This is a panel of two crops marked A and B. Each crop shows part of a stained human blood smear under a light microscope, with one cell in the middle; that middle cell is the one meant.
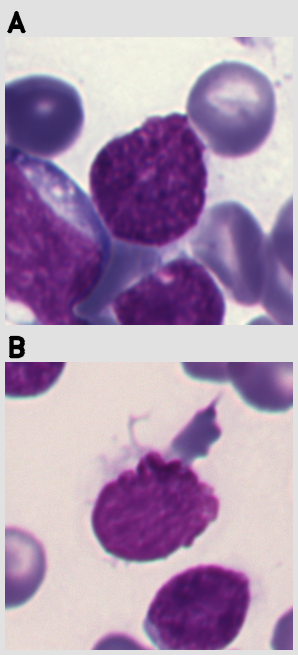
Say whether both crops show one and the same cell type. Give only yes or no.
no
